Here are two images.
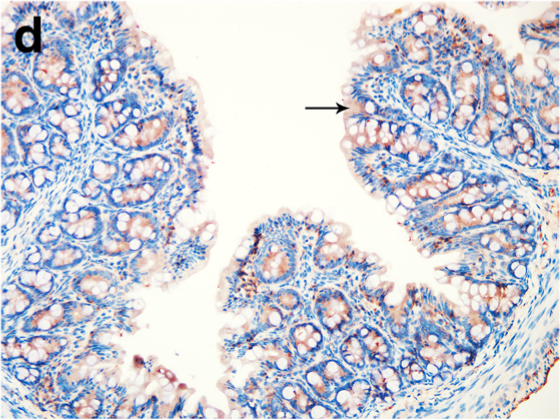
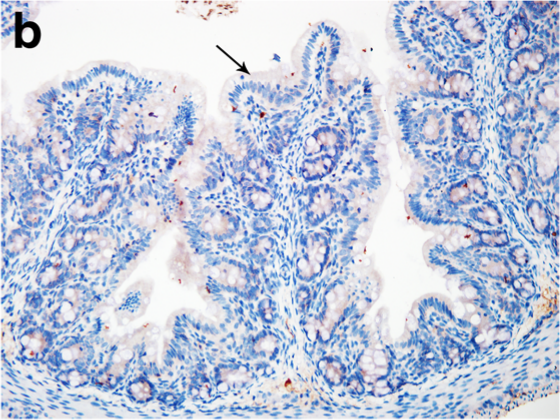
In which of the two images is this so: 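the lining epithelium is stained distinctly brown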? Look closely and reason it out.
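First image: the epithelium of the surface and glands shows clear brown stain. Second image: the epithelium is mostly blue with only faint pale brown at the surface.
Hence: the first image.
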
